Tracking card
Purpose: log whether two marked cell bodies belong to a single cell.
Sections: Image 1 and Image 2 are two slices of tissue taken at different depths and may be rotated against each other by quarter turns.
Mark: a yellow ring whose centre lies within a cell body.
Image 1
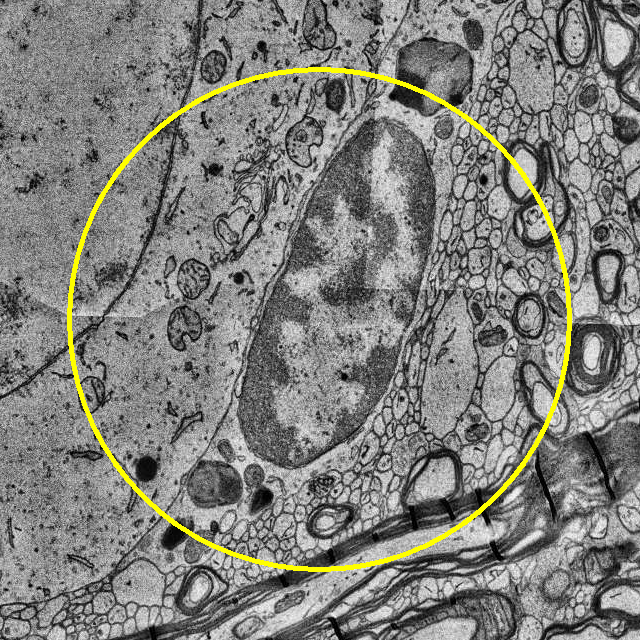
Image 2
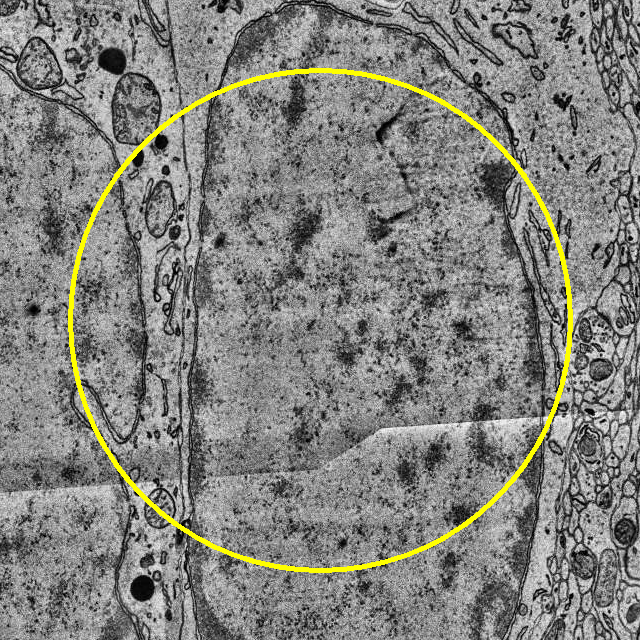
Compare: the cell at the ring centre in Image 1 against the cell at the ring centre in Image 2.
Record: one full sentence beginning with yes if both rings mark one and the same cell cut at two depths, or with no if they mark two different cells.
No, the rings single out two cells that are separate from each other.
